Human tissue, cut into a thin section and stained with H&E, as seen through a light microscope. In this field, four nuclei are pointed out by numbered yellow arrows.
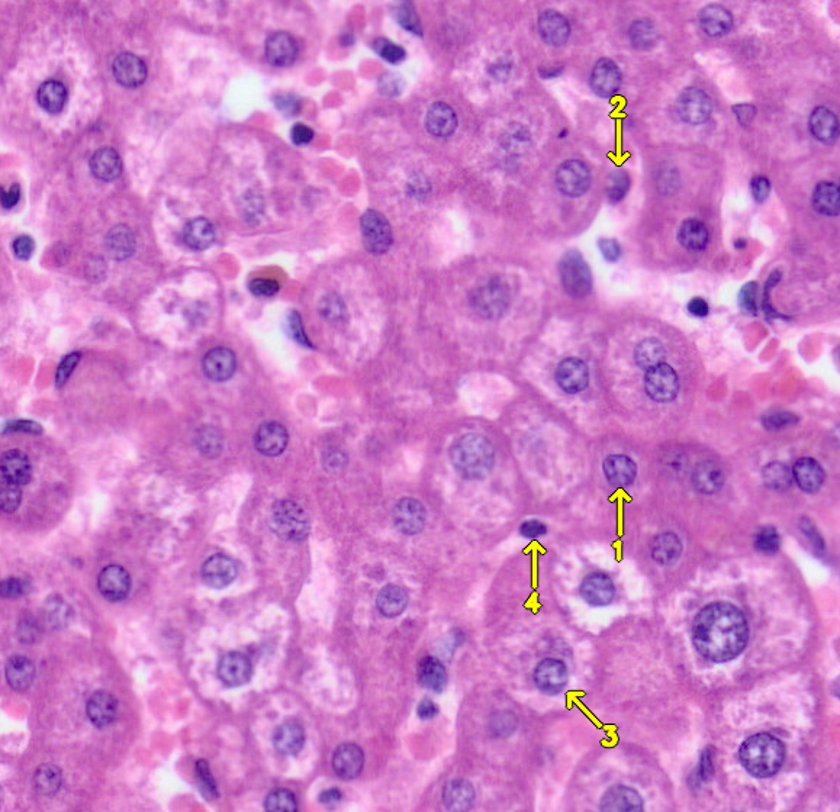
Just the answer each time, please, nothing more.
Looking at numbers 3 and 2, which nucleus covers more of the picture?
3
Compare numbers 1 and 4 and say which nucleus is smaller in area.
4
